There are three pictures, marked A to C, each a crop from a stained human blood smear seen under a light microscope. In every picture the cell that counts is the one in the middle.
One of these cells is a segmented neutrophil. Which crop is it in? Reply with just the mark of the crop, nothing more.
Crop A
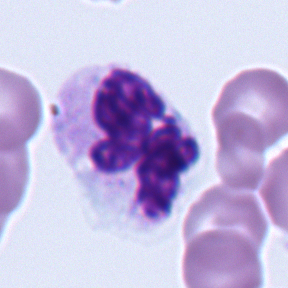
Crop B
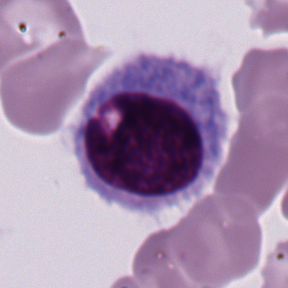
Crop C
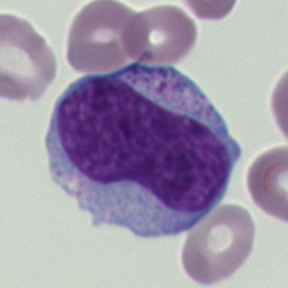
A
